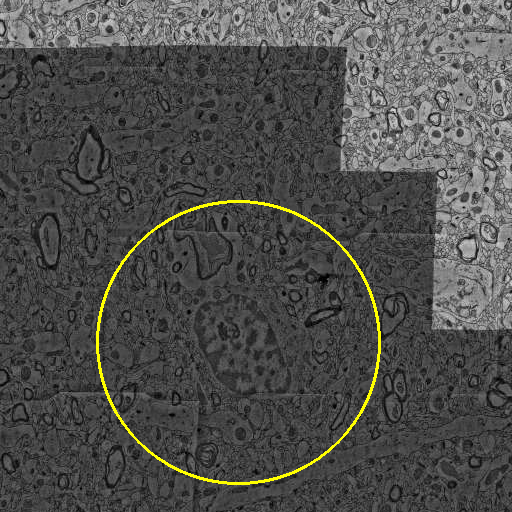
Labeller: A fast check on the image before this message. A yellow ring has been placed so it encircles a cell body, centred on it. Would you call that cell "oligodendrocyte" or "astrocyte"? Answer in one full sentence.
In this image, an oligodendrocyte is the cell on which the yellow ring is centred.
